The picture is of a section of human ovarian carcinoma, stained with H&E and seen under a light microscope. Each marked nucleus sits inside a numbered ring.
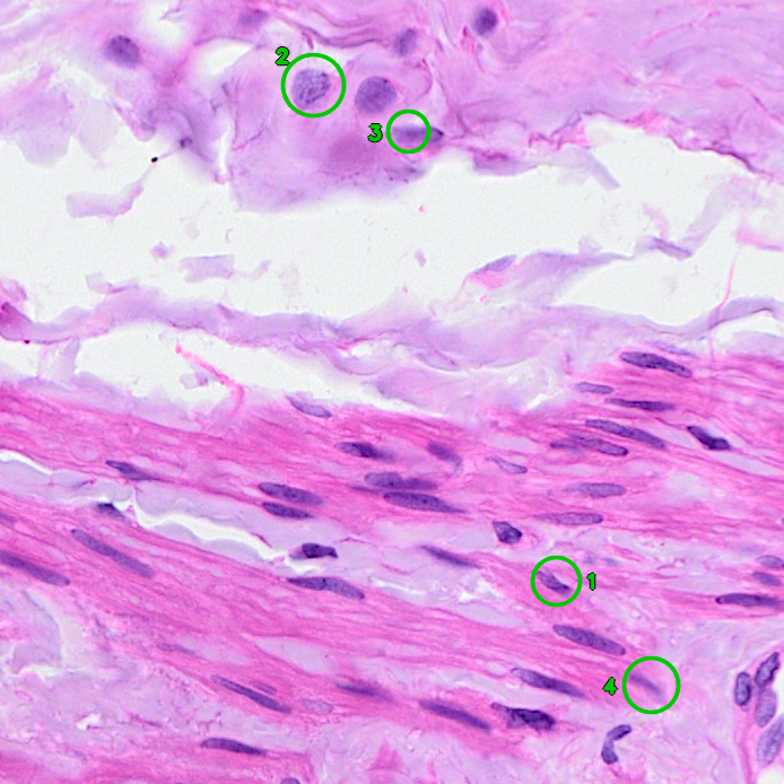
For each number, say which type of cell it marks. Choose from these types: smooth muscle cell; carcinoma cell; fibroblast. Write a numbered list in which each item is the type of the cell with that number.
1. smooth muscle cell
2. fibroblast
3. fibroblast
4. smooth muscle cell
